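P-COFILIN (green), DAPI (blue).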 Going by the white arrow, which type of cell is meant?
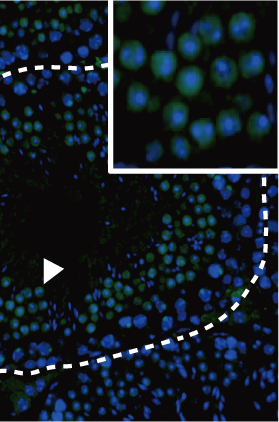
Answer: Round spermatids.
